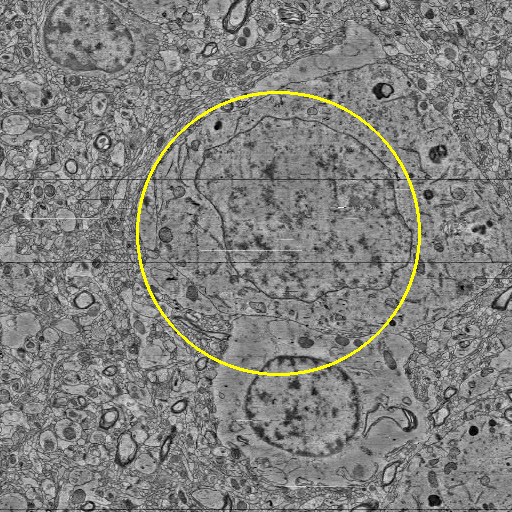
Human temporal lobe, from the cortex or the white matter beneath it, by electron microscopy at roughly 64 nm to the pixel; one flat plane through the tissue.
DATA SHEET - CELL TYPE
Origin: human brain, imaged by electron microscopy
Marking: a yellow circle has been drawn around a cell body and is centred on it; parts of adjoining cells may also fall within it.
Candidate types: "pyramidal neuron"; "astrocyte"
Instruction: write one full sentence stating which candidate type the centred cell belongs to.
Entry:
The cell body at the centre of the yellow ring in this micrograph belongs to a pyramidal neuron.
